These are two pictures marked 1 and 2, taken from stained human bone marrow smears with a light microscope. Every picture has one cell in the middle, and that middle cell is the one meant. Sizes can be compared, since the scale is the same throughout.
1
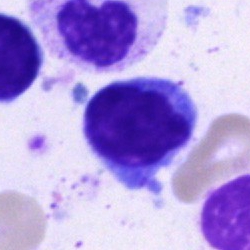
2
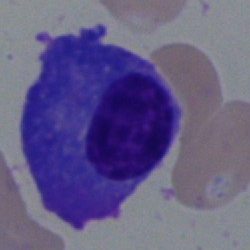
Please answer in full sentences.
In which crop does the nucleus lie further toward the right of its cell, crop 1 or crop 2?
It is the nucleus in crop 2 that lies further toward the right of its cell.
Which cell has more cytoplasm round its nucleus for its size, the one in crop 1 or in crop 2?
The nucleus fills less of the cell in crop 2 than in crop 1.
